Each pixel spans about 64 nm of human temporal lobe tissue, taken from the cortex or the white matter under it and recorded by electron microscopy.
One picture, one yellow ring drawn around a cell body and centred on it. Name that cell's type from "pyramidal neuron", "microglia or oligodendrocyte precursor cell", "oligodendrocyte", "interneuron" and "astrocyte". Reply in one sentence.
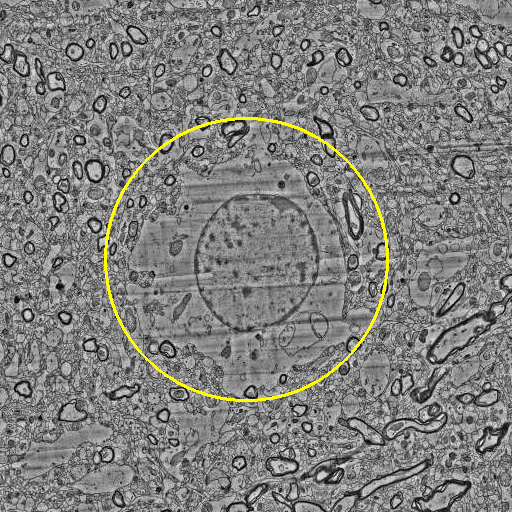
Centred in the ring is an astrocyte.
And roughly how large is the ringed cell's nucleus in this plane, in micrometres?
In this plane the nucleus is about 8 micrometres across.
